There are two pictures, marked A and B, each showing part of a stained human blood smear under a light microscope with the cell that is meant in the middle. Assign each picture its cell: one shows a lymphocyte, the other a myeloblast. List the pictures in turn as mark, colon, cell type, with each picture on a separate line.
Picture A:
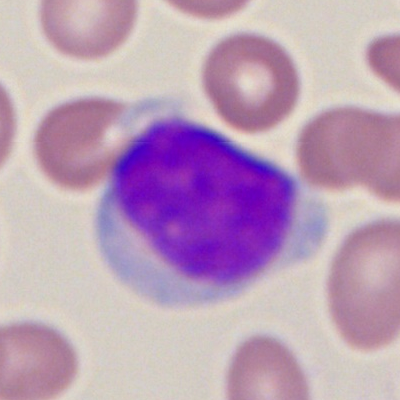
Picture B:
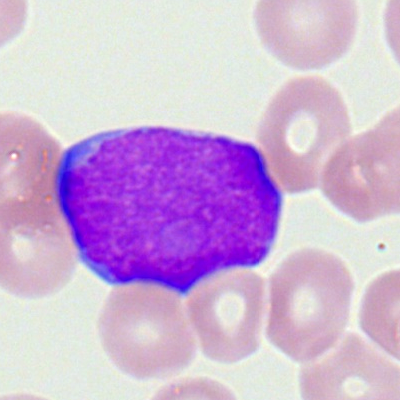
A: lymphocyte
B: myeloblast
